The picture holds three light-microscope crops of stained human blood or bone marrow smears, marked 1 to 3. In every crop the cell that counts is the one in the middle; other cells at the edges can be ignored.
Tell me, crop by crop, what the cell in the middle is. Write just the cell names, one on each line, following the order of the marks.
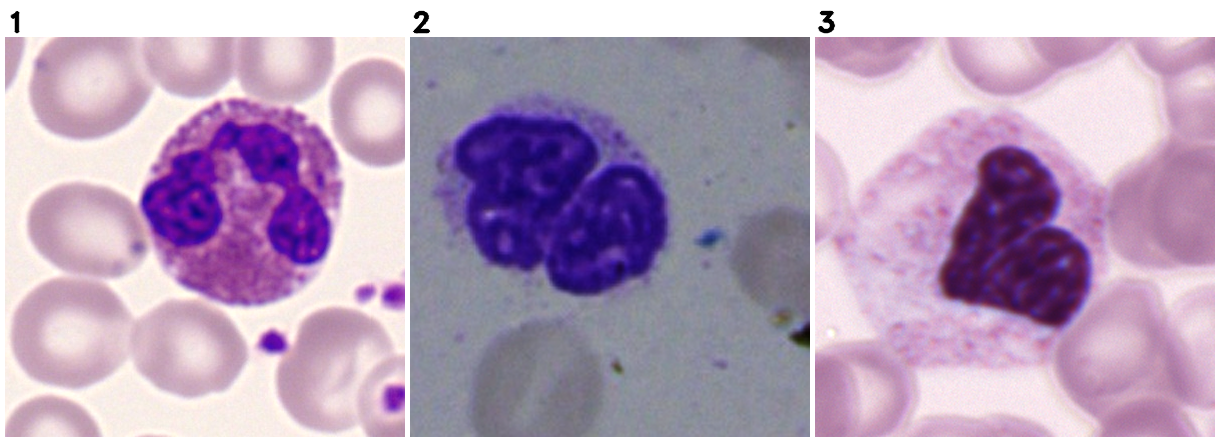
eosinophil
segmented neutrophil
segmented neutrophil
